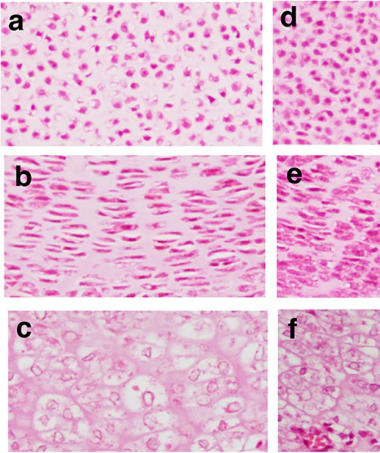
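These are growth plate chondrocytes in cartilage, shown in three rows of fields with purple nuclei set in a pale pink matrix. In the top row the cells are small and rounded, scattered singly through the matrix, which fits the round chondrocyte zone. The middle row shows flattened, elongated cells stacked in columns, the flat chondrocyte zone. The bottom row shows large swollen cells with clear cytoplasm inside lacunae separated by thin pink septa, the hypertrophic chondrocyte zone. In the right-hand column the cells in each zone are packed more closely, with less matrix between them and less orderly columns than in the left-hand column.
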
